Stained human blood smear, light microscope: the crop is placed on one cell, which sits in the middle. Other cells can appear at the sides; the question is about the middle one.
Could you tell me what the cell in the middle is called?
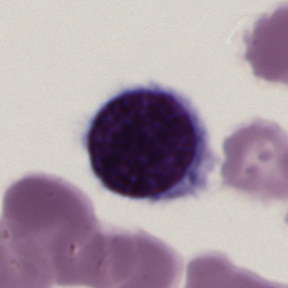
hairy cell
